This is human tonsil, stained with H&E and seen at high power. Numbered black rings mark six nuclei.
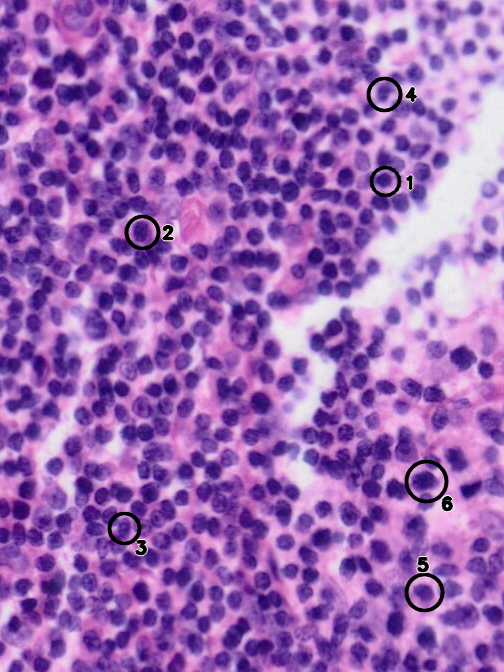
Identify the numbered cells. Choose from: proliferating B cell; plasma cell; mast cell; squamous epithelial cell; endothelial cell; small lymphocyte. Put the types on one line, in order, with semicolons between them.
small lymphocyte; small lymphocyte; small lymphocyte; small lymphocyte; proliferating B cell; proliferating B cell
